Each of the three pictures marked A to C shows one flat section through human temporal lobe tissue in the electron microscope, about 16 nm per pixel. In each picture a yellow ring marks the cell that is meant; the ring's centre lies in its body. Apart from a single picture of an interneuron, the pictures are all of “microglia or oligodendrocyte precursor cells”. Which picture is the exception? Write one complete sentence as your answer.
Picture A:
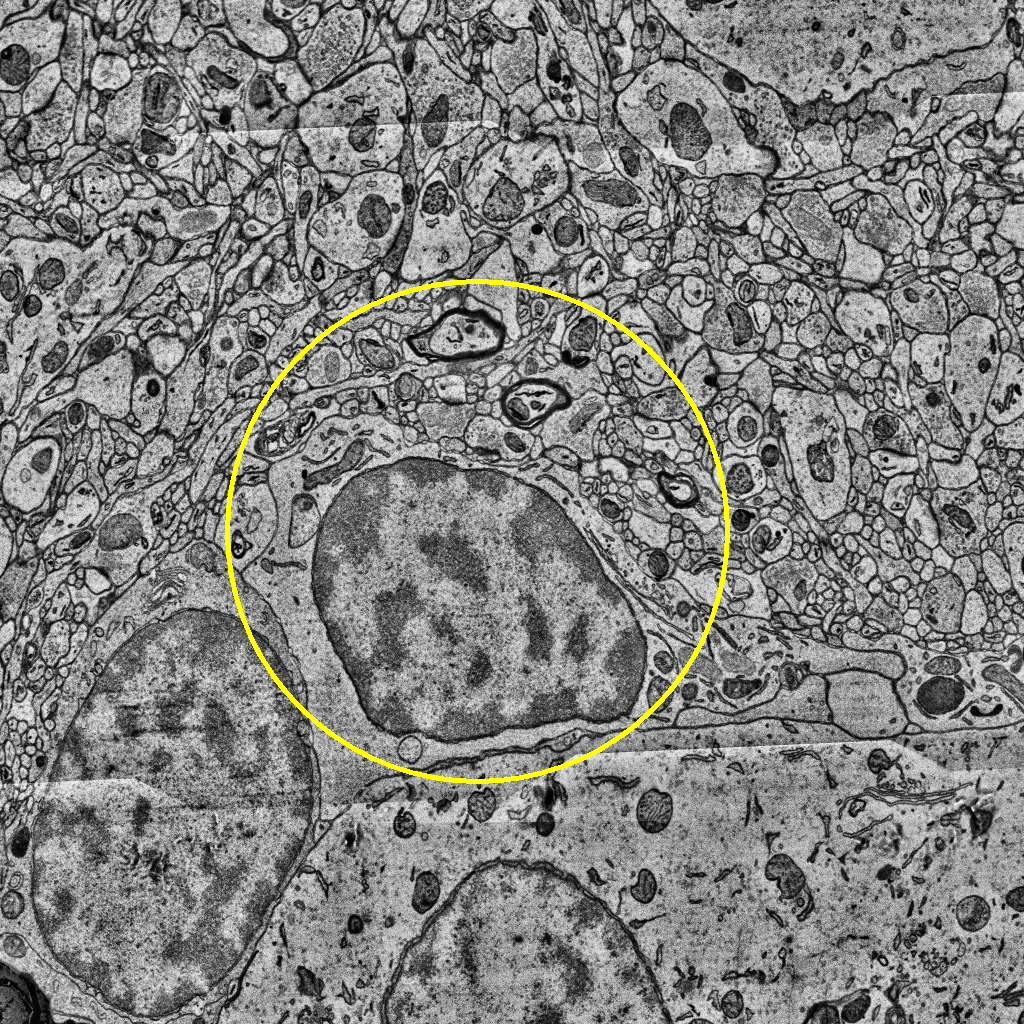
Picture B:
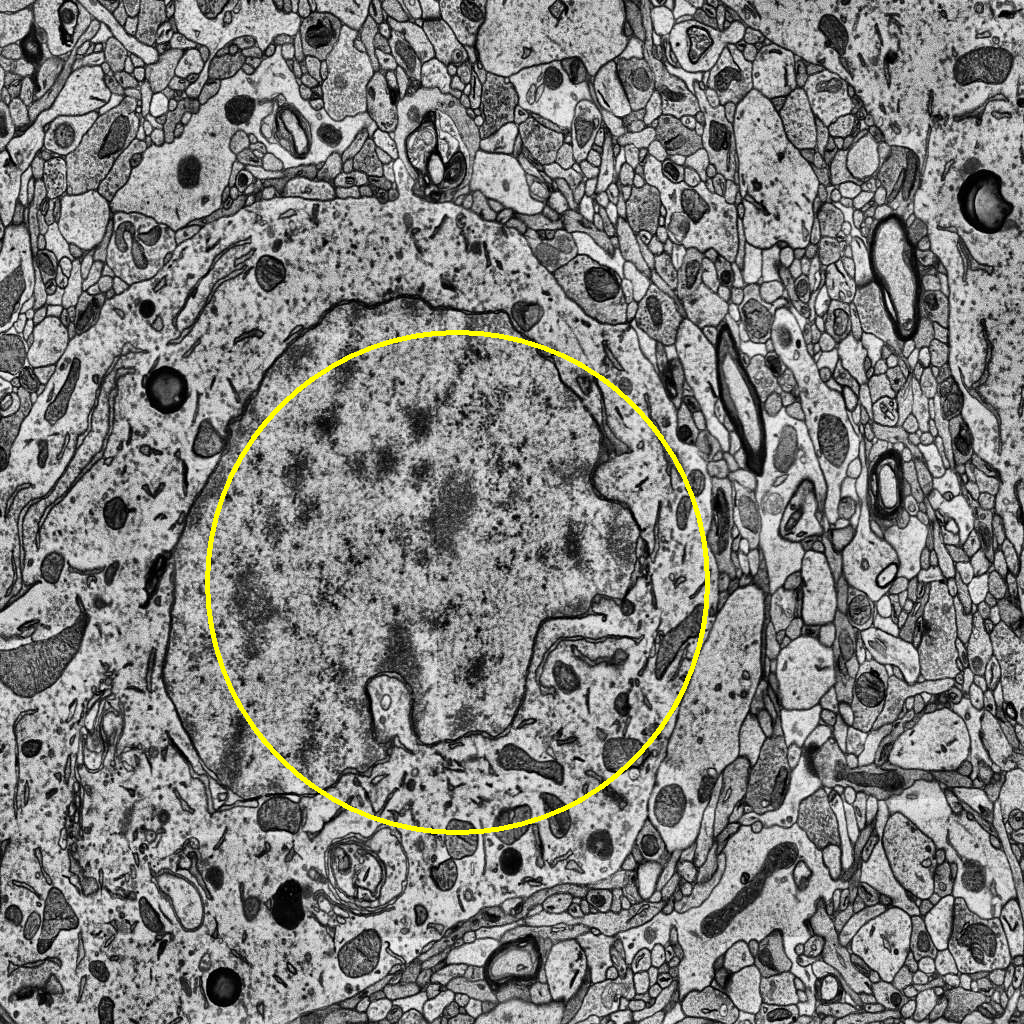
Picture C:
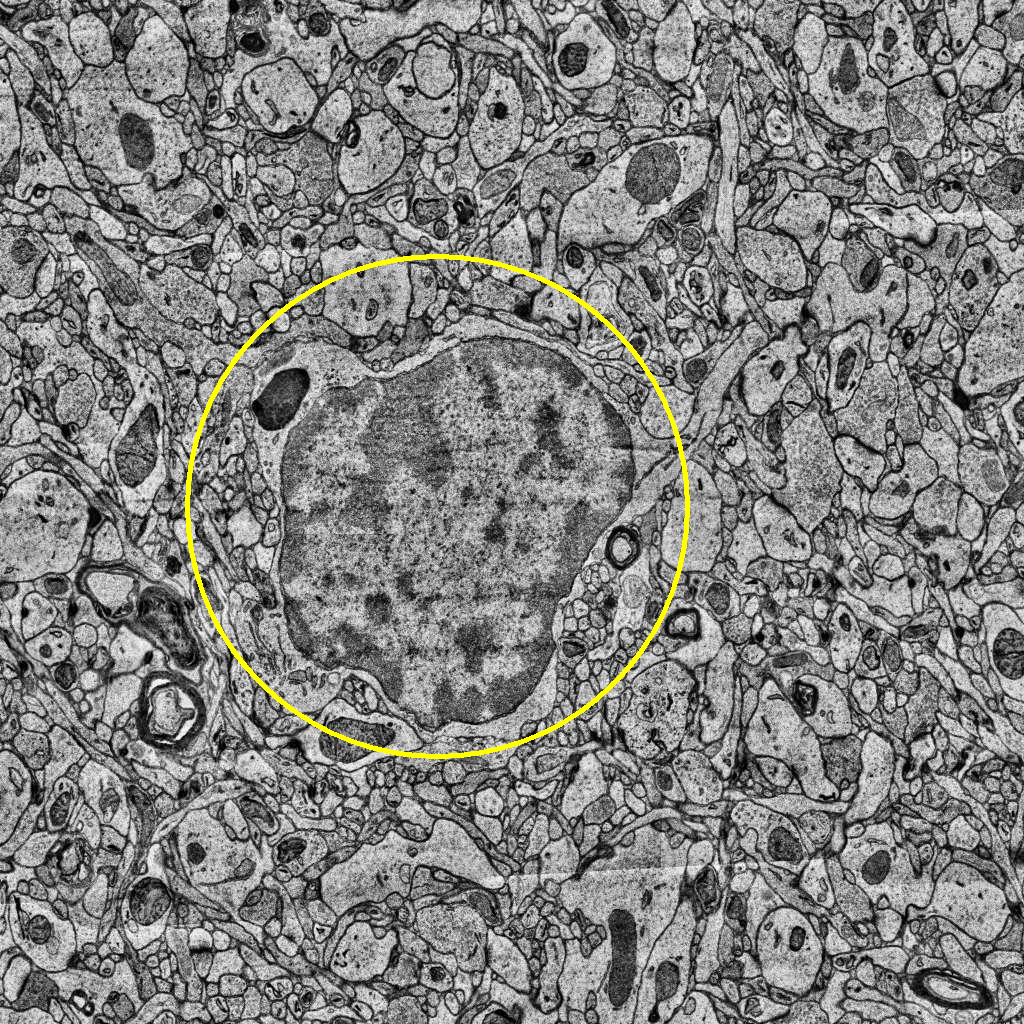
The picture with the interneuron is B.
